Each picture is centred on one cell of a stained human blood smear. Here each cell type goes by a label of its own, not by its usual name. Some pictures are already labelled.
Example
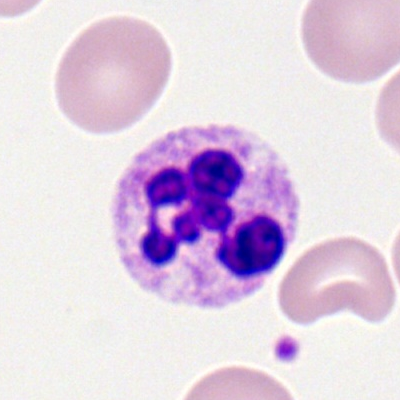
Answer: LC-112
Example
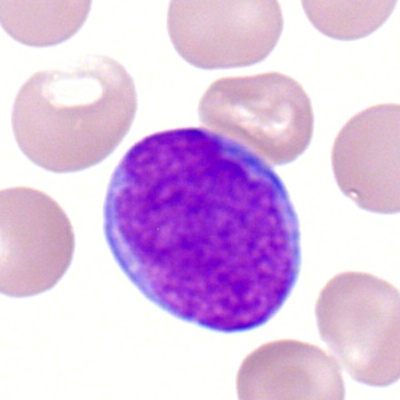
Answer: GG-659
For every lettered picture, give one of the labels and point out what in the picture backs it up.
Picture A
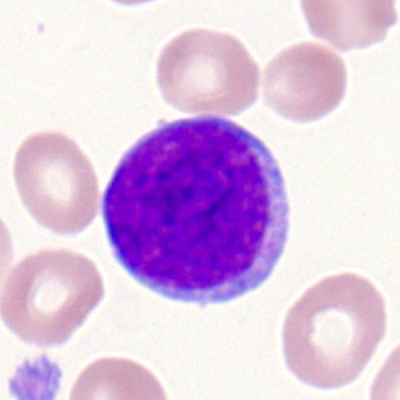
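GG-659. Evidence: The cytoplasm forms only a thin rim around the nucleus.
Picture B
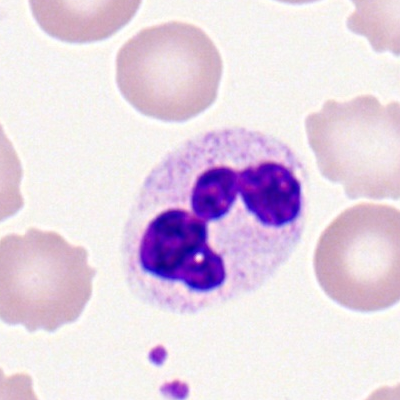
LC-112. Evidence: The nucleus is divided into three lobes.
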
